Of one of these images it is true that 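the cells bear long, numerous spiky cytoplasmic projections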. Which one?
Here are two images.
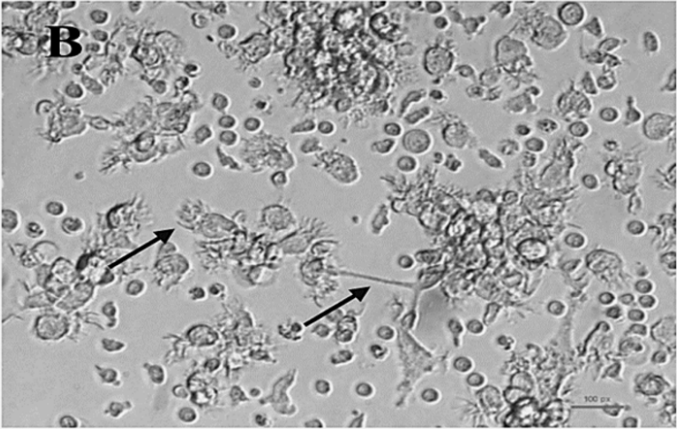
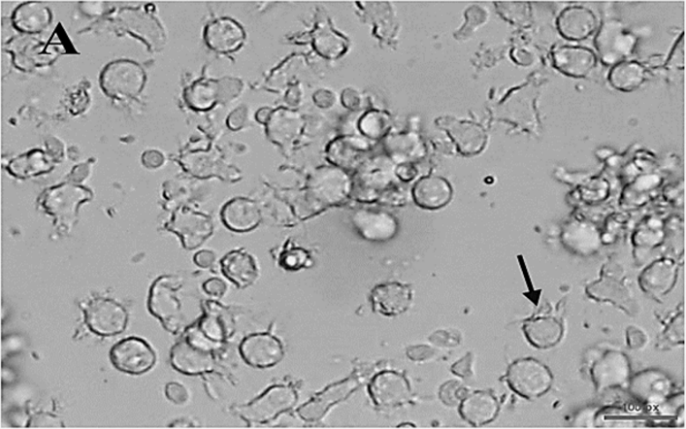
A: the first image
